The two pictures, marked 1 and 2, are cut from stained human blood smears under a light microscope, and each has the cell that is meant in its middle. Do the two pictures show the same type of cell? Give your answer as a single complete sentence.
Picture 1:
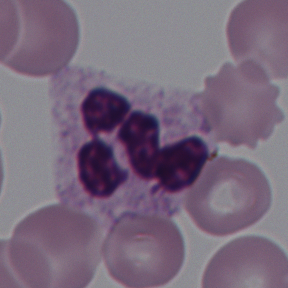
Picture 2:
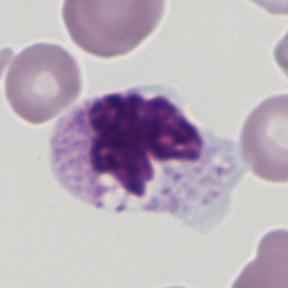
Yes, they are the same type: both are segmented neutrophils.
